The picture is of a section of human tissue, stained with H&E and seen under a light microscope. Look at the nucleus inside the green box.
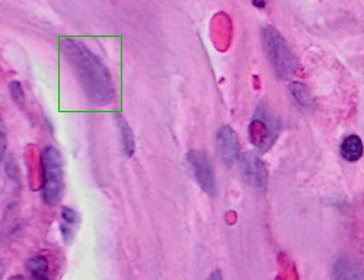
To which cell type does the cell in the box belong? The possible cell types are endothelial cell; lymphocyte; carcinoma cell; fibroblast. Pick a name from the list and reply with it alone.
fibroblast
